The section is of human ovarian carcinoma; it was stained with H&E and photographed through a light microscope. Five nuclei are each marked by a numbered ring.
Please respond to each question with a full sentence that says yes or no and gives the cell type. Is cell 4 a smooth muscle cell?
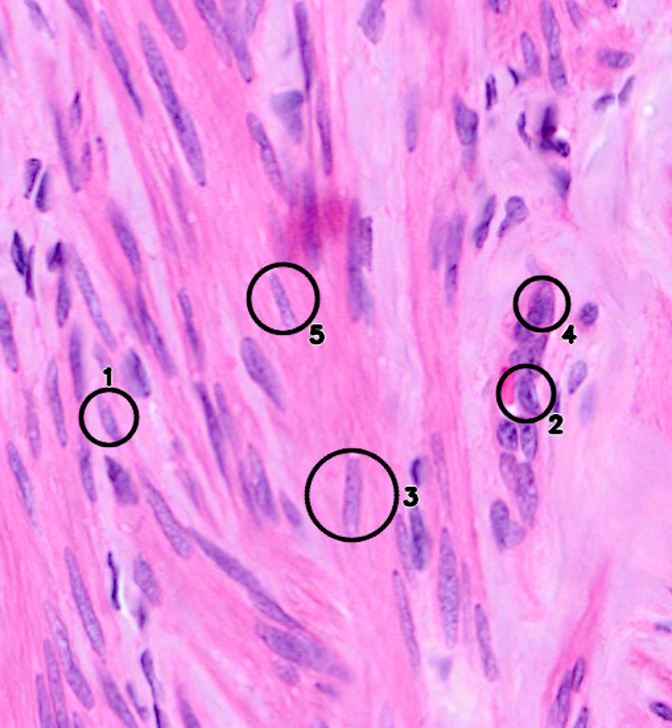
No, the cell that carries number 4 is an endothelial cell, not a smooth muscle cell.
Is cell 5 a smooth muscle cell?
Yes, the one numbered 5 is a smooth muscle cell.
